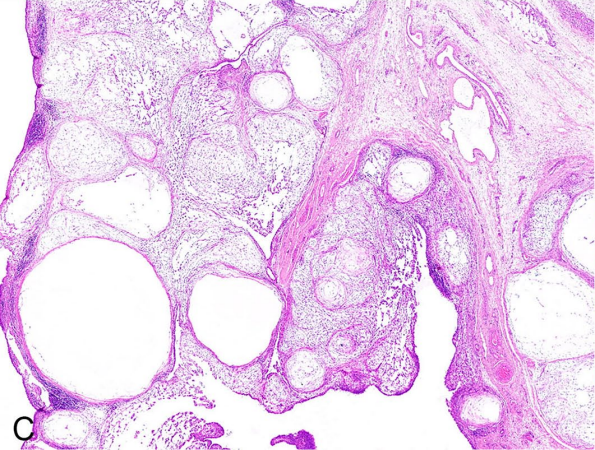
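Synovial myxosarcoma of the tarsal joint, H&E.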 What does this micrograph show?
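This tissue is made of many lobules of pale, loose, wispy material holding scattered cells, with rounded clear spaces of varied size within them. Thin bands of pink fibrous tissue run between the lobules and divide them into nodules. Small dense purple-blue clusters of cells sit at the edges of some lobules.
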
